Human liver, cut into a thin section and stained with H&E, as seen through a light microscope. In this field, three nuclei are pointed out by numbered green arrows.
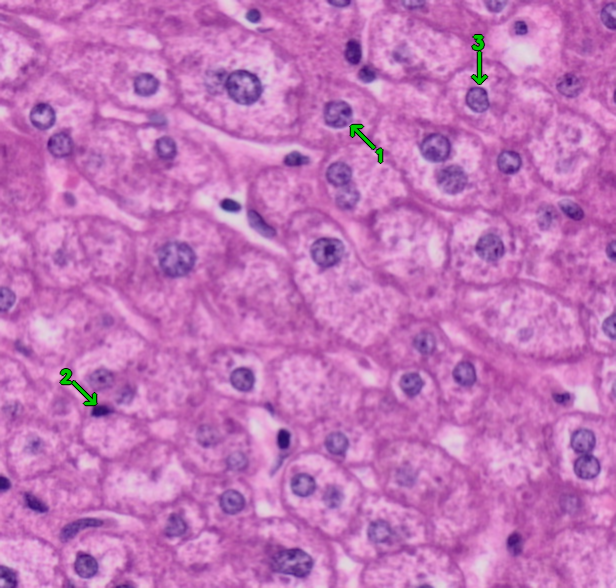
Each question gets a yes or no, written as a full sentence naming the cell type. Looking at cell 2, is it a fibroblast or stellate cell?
Yes, regarding number 2, the cell is a fibroblast or stellate cell.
